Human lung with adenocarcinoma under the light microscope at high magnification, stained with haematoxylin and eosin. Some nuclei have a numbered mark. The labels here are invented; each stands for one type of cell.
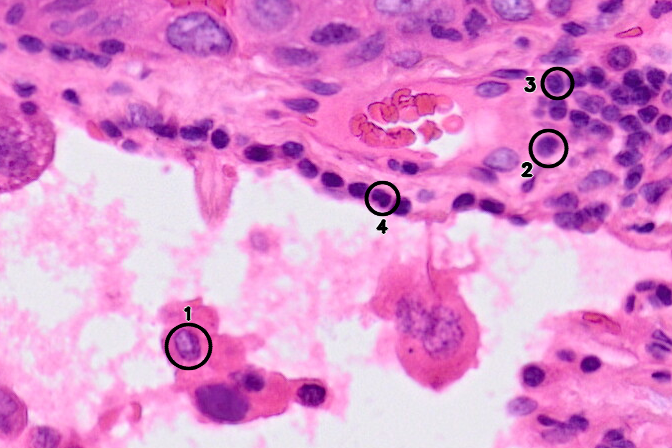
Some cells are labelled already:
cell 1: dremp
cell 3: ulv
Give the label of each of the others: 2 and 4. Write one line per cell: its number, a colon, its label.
2: ulv
4: ulv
